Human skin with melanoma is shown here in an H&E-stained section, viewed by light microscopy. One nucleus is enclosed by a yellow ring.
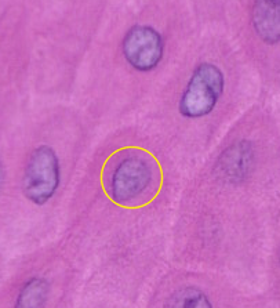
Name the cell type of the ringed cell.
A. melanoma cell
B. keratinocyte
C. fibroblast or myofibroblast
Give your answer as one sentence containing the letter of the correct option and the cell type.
Under option B, the ringed cell is listed as a keratinocyte, which is correct.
